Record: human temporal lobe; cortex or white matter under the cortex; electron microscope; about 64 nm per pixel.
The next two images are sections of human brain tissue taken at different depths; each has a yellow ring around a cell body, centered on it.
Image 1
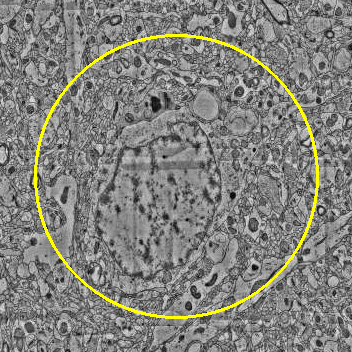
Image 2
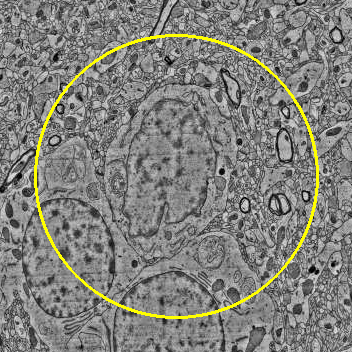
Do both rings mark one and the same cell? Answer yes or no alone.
no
